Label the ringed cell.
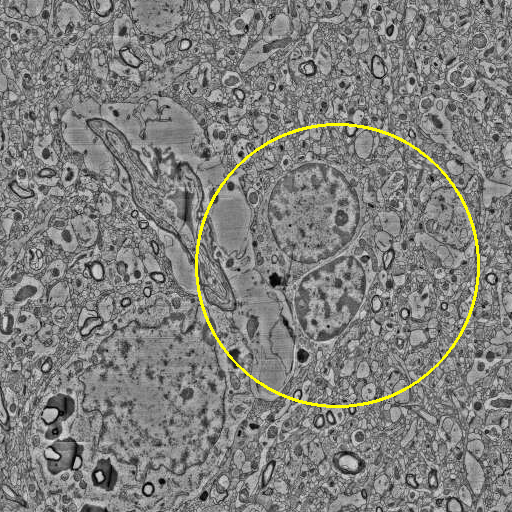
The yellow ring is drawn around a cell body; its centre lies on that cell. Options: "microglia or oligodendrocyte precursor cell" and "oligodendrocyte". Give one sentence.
The ringed cell is a microglial cell or oligodendrocyte precursor cell.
